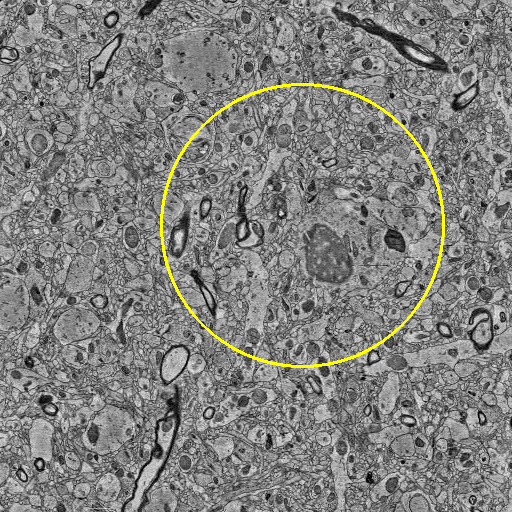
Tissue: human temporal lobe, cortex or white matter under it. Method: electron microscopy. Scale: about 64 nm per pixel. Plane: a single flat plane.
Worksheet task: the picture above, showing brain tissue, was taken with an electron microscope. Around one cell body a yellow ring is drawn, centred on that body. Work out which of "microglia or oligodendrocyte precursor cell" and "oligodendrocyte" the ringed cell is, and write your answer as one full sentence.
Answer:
It is an oligodendrocyte whose cell body lies at the centre of the yellow ring.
